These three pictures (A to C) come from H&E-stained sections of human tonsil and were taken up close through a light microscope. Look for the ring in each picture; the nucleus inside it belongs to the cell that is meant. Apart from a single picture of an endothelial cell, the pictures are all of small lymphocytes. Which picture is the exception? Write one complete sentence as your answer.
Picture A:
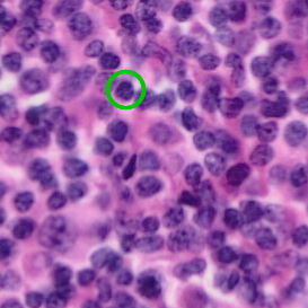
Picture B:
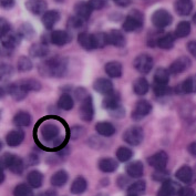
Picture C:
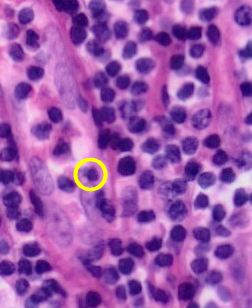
The picture with the endothelial cell is C.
